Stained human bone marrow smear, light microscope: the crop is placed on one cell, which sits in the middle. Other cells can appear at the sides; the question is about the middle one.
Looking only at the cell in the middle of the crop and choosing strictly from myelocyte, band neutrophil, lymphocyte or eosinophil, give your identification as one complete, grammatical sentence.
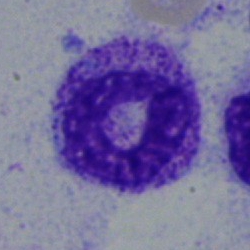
The cell at the heart of this crop is a band neutrophil.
